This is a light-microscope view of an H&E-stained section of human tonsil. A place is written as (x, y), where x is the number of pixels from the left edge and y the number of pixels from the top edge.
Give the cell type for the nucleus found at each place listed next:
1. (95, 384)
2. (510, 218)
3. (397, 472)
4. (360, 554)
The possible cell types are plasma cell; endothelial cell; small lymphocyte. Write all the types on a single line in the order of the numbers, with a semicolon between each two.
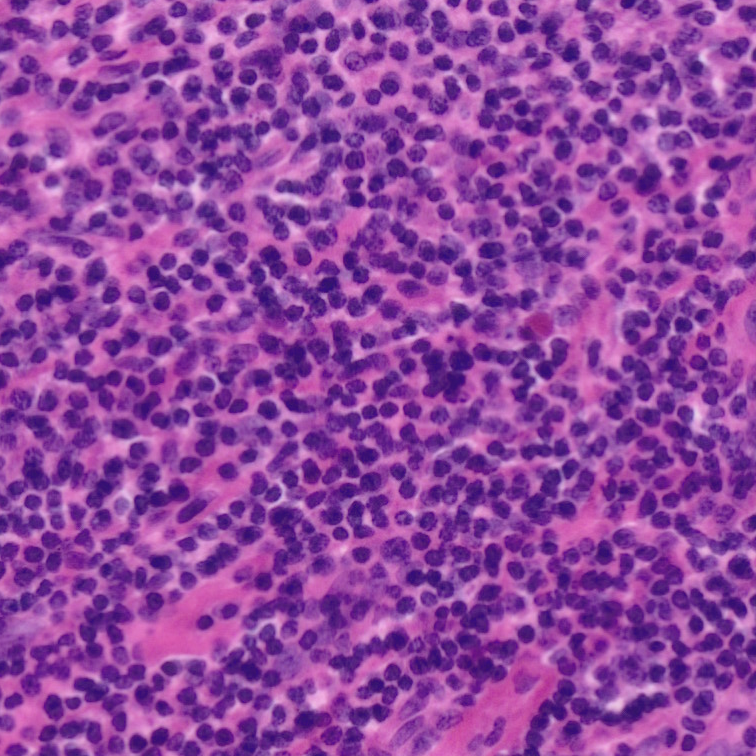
small lymphocyte; small lymphocyte; small lymphocyte; endothelial cell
